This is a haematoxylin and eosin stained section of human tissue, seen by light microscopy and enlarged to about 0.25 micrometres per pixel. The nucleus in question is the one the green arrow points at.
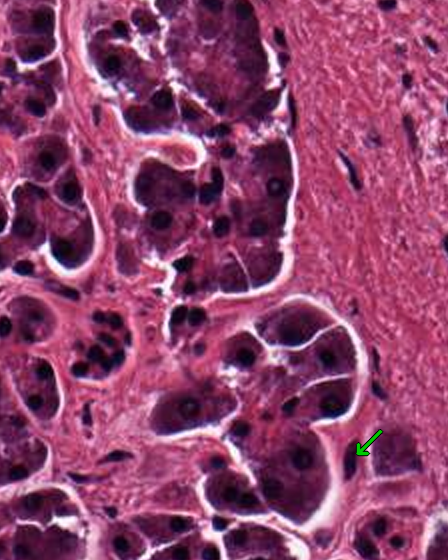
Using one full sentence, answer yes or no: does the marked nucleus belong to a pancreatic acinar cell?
No, as for the marked nucleus, it belongs to a supporting cell and not to a pancreatic acinar cell.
